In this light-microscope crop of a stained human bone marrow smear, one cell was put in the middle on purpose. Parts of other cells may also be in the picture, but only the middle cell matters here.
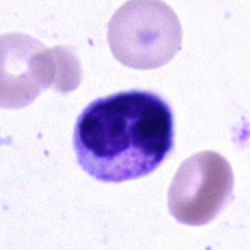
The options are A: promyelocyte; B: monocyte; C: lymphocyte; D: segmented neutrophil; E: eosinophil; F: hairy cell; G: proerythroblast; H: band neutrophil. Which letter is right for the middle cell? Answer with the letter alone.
D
